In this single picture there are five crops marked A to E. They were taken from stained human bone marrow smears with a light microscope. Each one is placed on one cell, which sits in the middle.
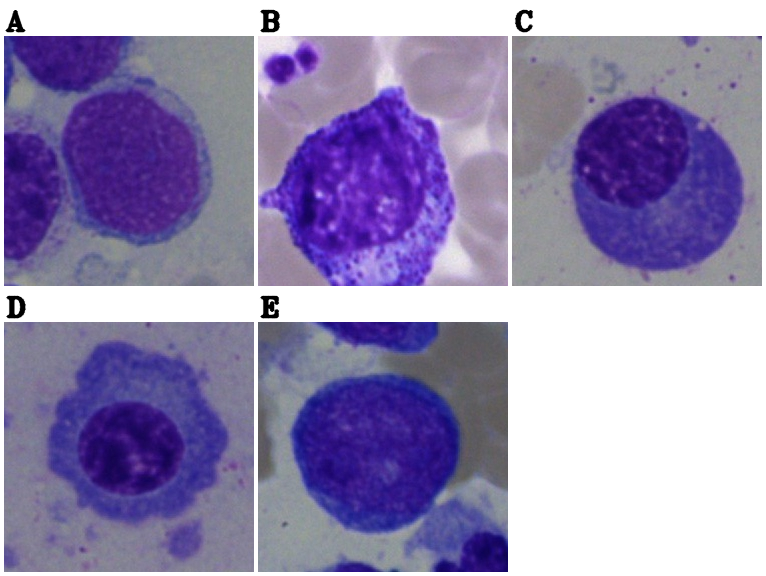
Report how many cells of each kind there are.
blast: 2
plasma cell: 2
promyelocyte: 1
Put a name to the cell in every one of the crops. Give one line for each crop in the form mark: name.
A: blast
B: promyelocyte
C: plasma cell
D: plasma cell
E: blast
